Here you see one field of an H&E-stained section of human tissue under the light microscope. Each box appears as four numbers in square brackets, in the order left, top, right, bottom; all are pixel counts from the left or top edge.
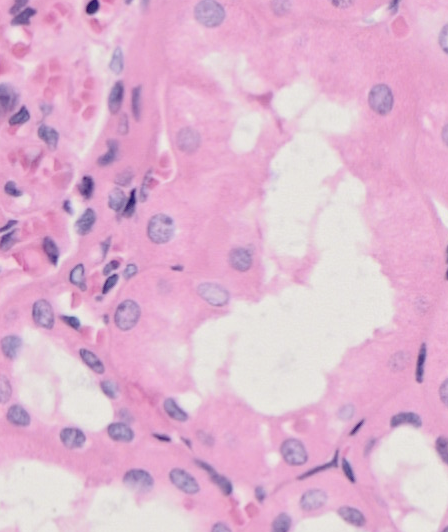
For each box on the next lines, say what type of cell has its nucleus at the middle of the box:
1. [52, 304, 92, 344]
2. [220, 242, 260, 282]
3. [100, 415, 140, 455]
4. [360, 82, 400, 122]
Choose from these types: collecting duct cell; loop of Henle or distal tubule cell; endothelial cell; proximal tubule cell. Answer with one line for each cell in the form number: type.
1: endothelial cell
2: proximal tubule cell
3: loop of Henle or distal tubule cell
4: proximal tubule cell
